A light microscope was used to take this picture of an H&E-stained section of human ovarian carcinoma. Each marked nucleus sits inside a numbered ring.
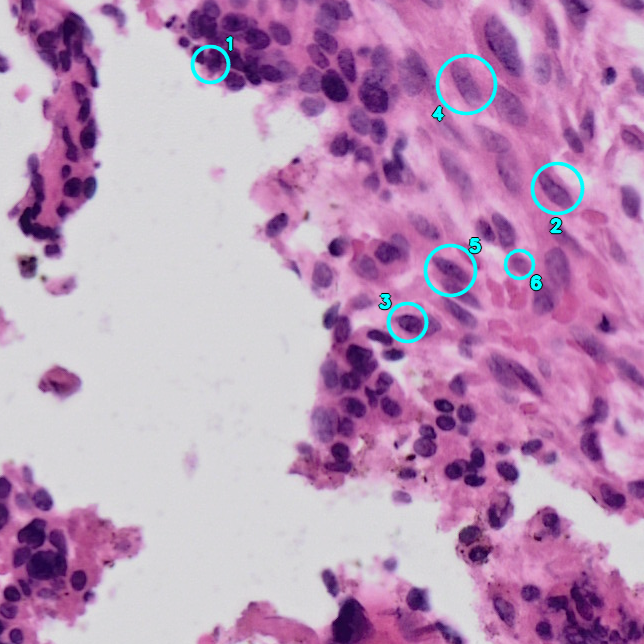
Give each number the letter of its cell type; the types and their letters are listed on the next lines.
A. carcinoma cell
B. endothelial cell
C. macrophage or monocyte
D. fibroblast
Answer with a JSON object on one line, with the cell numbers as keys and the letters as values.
{"1": "A", "2": "D", "3": "C", "4": "D", "5": "D", "6": "D"}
